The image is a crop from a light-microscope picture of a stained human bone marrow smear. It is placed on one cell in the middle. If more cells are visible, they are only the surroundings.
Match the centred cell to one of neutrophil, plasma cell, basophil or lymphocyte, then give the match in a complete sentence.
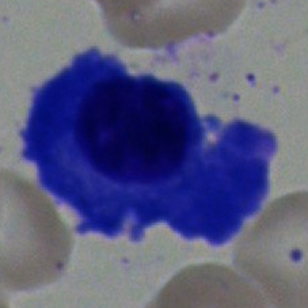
The cell at the middle of the crop is recognized as a plasma cell.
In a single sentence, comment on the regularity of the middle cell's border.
The cell shows an uneven border, formed by ragged areas or by outward projections.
